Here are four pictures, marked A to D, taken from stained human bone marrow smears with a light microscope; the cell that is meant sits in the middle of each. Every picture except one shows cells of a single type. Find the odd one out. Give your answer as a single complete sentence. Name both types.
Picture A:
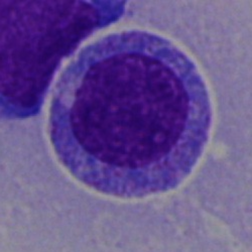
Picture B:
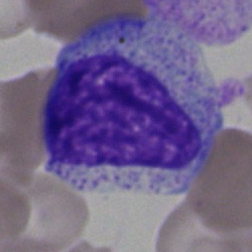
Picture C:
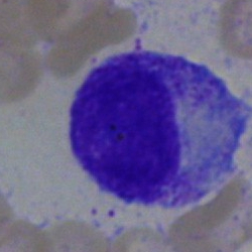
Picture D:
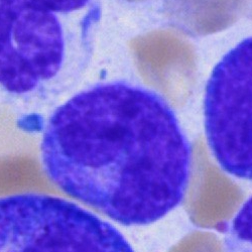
All pictures except D show myelocytes; picture D shows a monocyte.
